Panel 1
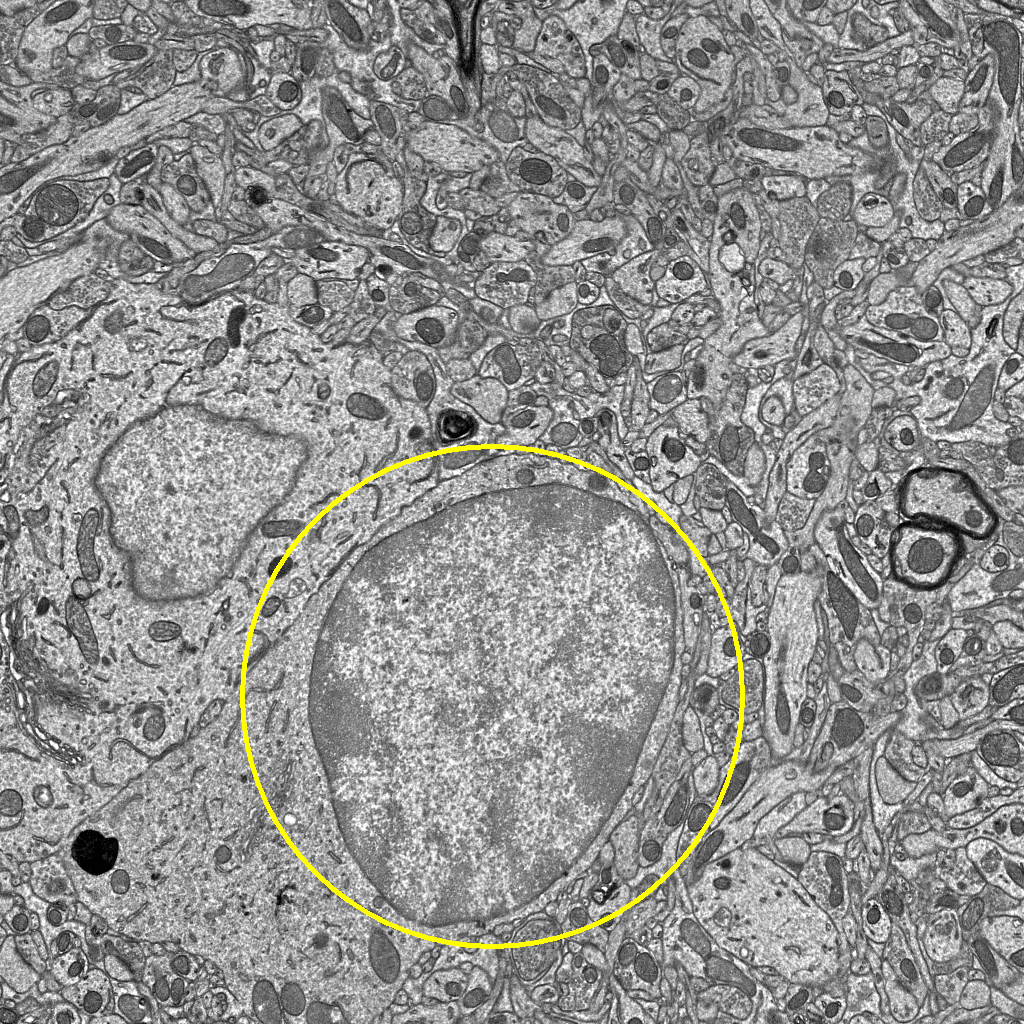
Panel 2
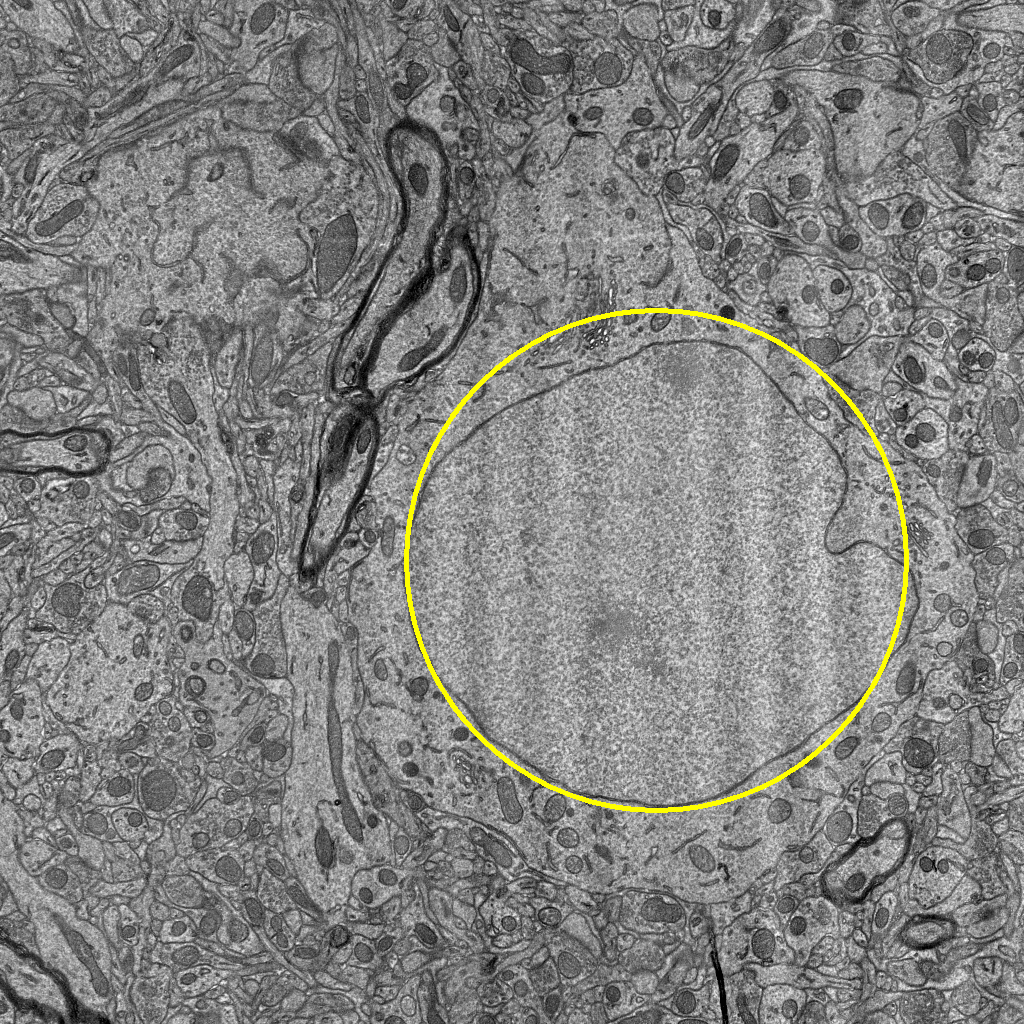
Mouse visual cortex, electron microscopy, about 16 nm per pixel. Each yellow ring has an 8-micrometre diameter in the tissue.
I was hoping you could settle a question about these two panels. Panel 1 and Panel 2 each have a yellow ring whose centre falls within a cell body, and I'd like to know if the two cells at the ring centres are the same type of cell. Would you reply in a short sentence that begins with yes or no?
No, they are two types of cell.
